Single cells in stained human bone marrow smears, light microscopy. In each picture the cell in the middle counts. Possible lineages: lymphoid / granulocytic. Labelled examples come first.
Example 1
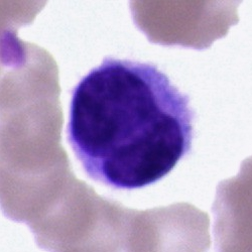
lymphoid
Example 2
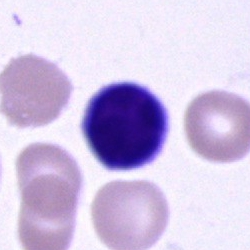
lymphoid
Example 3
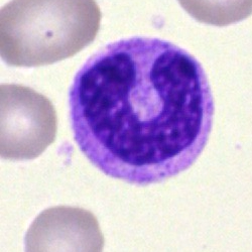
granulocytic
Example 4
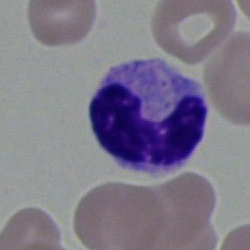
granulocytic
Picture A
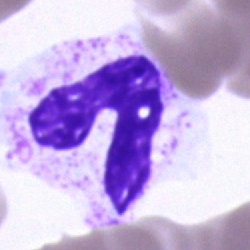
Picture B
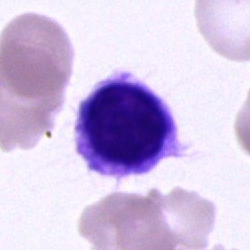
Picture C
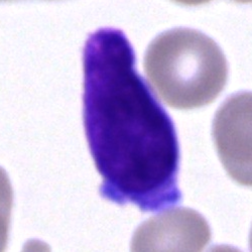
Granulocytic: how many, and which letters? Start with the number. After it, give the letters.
1, namely A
